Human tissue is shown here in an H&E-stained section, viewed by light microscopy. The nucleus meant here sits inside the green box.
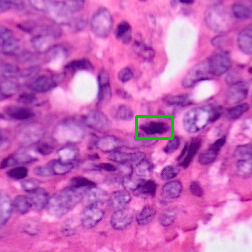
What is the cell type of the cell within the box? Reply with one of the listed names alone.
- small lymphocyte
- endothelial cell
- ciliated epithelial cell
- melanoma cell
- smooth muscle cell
ciliated epithelial cell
